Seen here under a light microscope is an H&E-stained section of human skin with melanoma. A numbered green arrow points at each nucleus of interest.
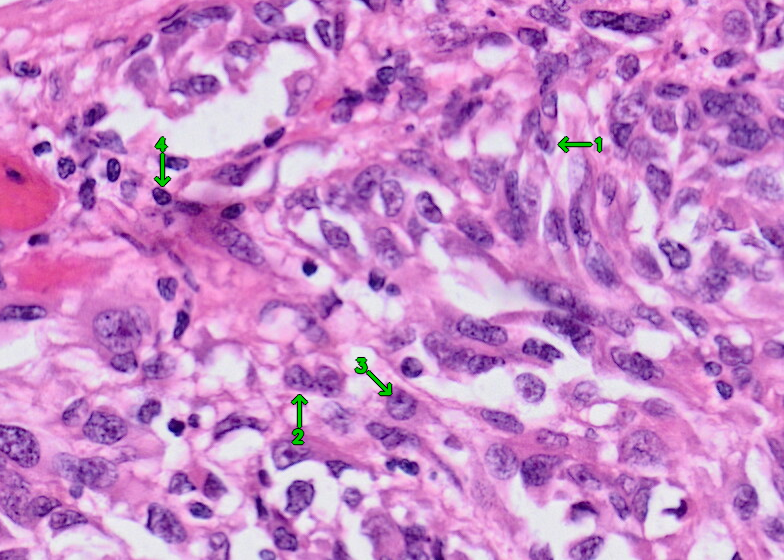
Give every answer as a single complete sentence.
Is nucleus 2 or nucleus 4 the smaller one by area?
It is nucleus 4; nucleus 2 has about 2 times its area.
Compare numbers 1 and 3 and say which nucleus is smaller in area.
Nucleus 1 covers less area, with nucleus 3 about 2 times as large.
